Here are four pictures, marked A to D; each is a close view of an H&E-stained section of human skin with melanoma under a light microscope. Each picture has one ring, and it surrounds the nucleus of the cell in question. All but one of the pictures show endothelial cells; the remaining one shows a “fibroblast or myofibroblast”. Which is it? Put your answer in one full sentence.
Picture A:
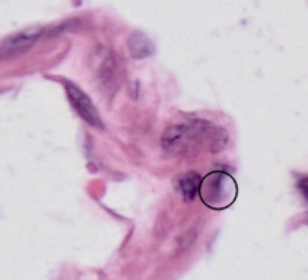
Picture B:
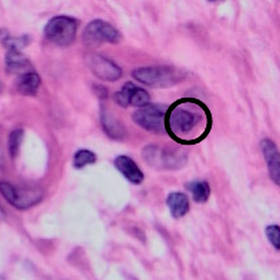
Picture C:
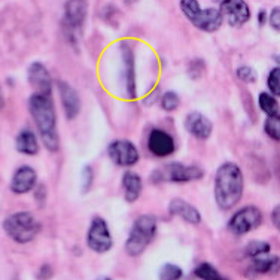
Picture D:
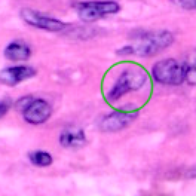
Picture C is the one that shows the “fibroblast or myofibroblast”.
